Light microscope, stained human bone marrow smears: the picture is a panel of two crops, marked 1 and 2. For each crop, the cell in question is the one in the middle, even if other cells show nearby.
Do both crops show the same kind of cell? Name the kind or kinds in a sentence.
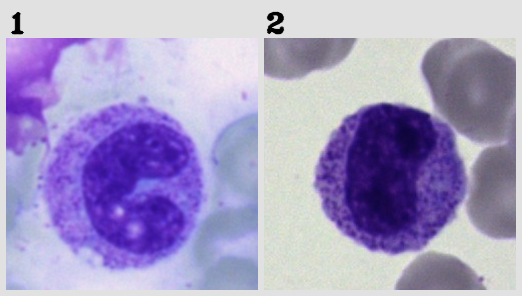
No, crop 1 captures a band neutrophil, and crop 2 captures a metamyelocyte.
